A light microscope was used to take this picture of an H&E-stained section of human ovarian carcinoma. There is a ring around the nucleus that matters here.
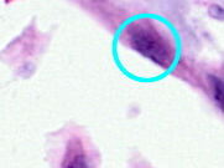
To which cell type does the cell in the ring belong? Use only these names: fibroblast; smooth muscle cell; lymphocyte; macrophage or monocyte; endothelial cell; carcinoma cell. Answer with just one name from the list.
endothelial cell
